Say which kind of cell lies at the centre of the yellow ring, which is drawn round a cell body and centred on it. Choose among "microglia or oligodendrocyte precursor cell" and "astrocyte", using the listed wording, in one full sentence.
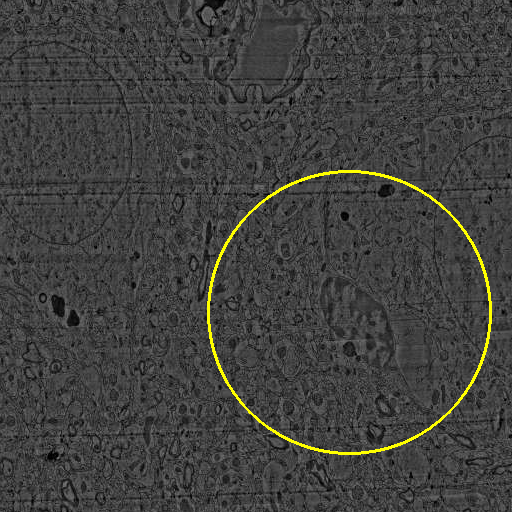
Going by the list, the cell at the yellow ring's centre is a microglial cell or oligodendrocyte precursor cell.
